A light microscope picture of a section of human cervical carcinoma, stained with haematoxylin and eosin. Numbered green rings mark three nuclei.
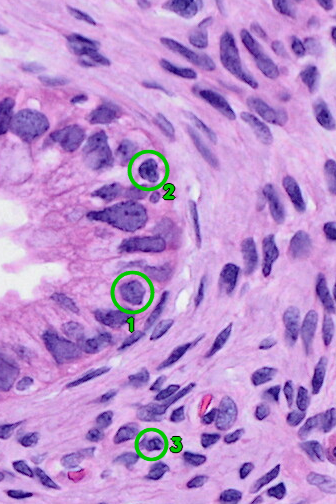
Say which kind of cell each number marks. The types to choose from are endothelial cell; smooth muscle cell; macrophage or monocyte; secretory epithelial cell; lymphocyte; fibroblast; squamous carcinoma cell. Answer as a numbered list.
1. secretory epithelial cell
2. lymphocyte
3. fibroblast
